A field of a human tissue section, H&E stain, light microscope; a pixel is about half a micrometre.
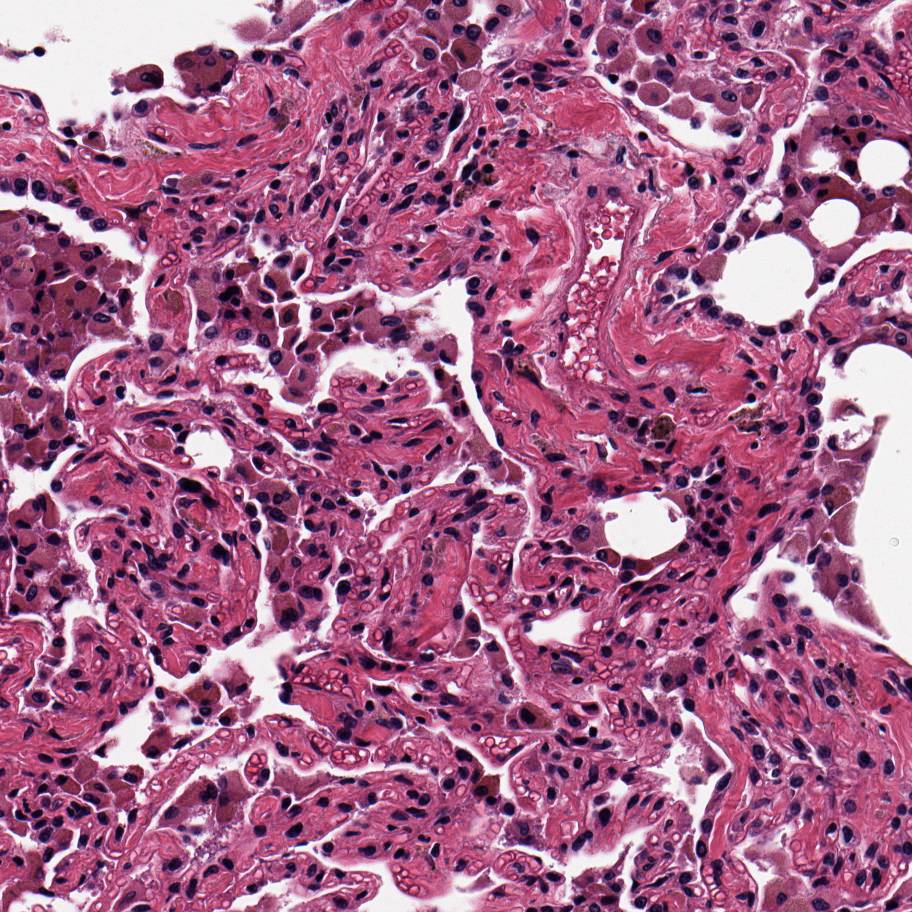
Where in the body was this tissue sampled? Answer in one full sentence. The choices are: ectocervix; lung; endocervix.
This sample of human tissue comes from the lung.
